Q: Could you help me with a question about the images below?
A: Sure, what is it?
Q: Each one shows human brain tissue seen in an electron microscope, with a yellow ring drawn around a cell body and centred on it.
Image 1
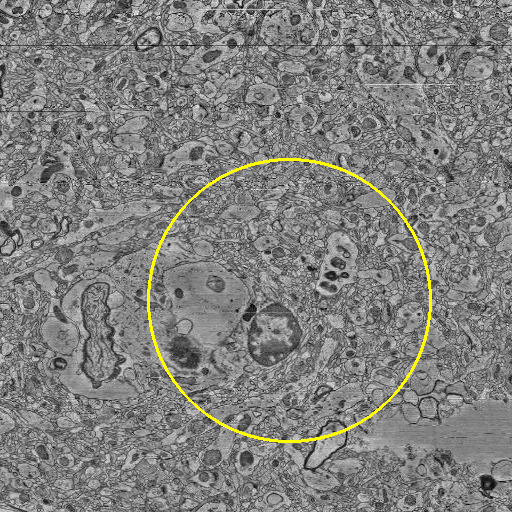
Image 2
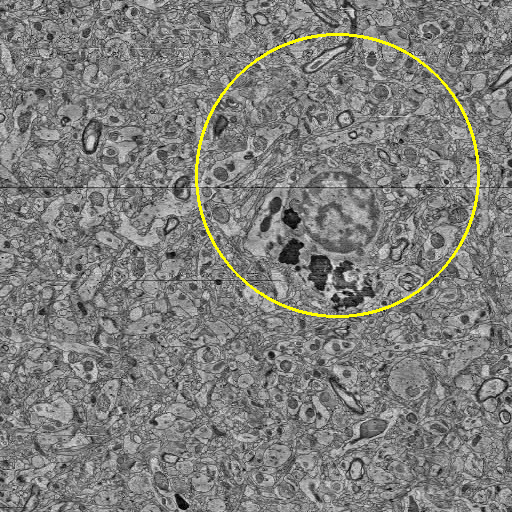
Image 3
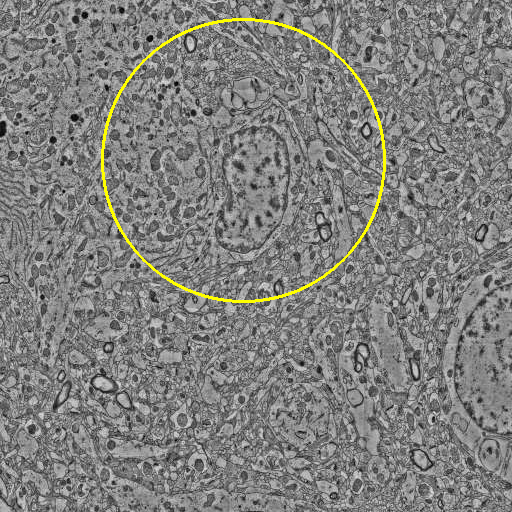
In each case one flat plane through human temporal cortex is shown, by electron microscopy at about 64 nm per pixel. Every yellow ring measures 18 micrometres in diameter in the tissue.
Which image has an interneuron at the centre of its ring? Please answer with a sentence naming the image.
Image 3 has it at the centre of its ring.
